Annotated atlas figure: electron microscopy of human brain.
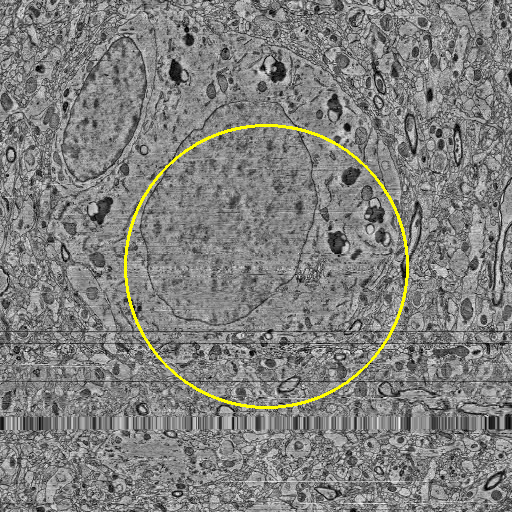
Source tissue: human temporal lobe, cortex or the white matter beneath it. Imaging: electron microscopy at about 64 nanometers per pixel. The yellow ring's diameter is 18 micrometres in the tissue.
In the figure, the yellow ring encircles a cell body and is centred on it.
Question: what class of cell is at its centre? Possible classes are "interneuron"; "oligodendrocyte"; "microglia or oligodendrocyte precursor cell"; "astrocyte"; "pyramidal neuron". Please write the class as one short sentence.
The yellow ring is drawn around a pyramidal neuron.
